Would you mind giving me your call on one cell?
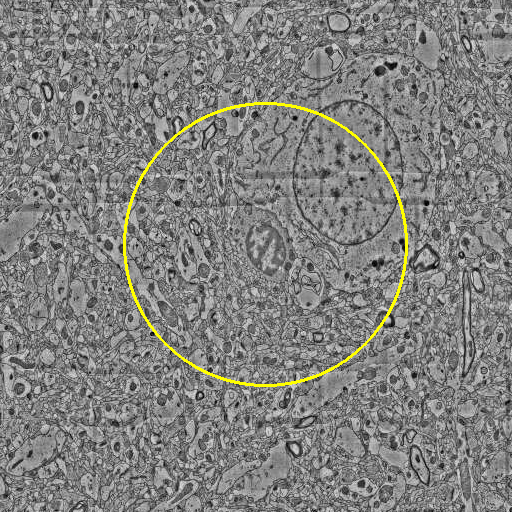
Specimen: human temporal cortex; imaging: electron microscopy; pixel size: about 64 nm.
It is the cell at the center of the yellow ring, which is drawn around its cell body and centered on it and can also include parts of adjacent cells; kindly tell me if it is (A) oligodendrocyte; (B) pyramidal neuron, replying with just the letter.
A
